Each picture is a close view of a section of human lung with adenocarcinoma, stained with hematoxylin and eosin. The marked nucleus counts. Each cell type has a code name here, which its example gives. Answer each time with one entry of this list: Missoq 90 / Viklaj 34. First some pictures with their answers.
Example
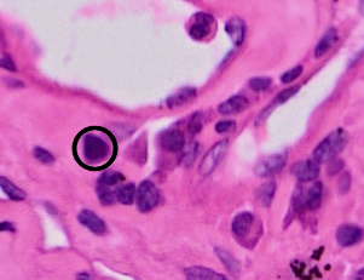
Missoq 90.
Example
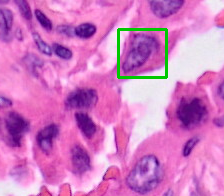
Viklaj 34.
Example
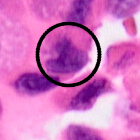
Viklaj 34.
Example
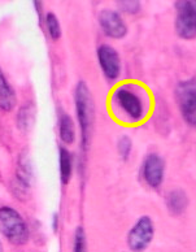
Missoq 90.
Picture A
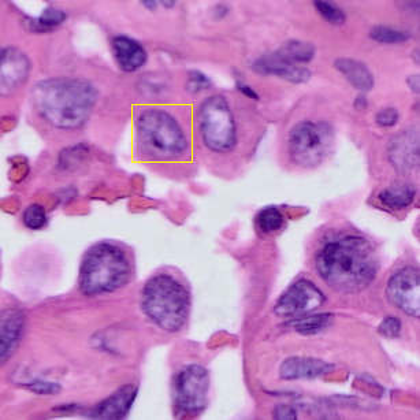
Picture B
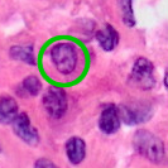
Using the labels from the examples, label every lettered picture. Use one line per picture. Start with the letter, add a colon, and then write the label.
A: Viklaj 34.
B: Missoq 90.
